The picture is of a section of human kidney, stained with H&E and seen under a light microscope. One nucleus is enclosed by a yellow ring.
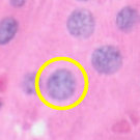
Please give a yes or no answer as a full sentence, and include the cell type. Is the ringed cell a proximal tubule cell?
No, the ringed cell is identified as a loop of Henle or distal tubule cell and not as a proximal tubule cell.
